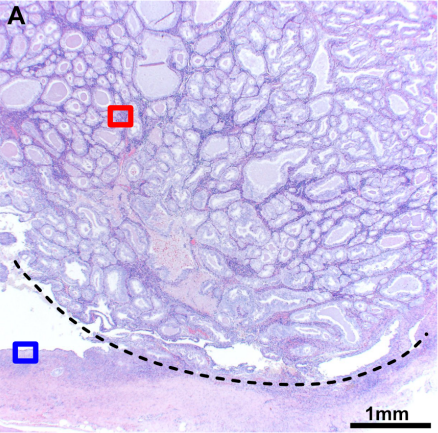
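Toward the centre there is a paler pink area with fewer glands. Along the bottom a broad band of pink fibrous wall without glands runs beneath the tumour, with an empty white space at its left end.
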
